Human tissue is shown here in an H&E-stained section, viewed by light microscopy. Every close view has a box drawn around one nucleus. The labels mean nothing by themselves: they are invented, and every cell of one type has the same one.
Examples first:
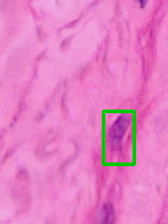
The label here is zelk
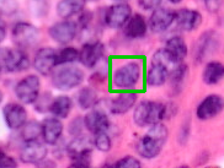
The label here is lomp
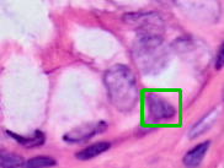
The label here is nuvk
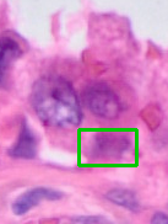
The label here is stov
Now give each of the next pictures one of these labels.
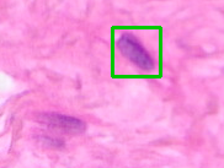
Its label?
zelk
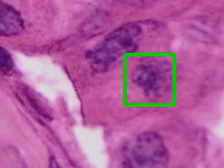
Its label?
stov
